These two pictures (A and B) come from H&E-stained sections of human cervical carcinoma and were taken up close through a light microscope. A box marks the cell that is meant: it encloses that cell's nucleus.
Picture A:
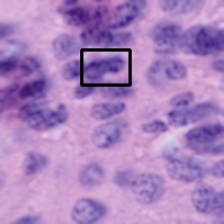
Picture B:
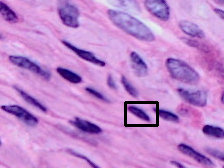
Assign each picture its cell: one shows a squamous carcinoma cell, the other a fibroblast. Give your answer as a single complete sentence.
Picture A shows a squamous carcinoma cell and picture B shows a fibroblast.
